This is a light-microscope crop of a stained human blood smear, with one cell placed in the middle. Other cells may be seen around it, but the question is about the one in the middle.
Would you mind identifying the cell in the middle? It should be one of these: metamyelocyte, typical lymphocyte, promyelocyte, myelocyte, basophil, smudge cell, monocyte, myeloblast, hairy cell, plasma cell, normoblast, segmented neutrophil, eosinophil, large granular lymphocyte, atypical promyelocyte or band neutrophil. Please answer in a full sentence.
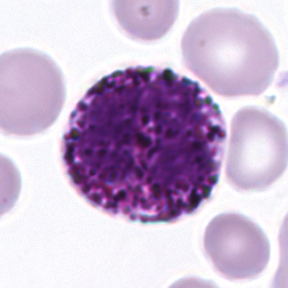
The crop's centre is taken up by a basophil.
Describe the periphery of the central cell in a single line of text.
Its outline is smooth, with no projections anywhere along the edge.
